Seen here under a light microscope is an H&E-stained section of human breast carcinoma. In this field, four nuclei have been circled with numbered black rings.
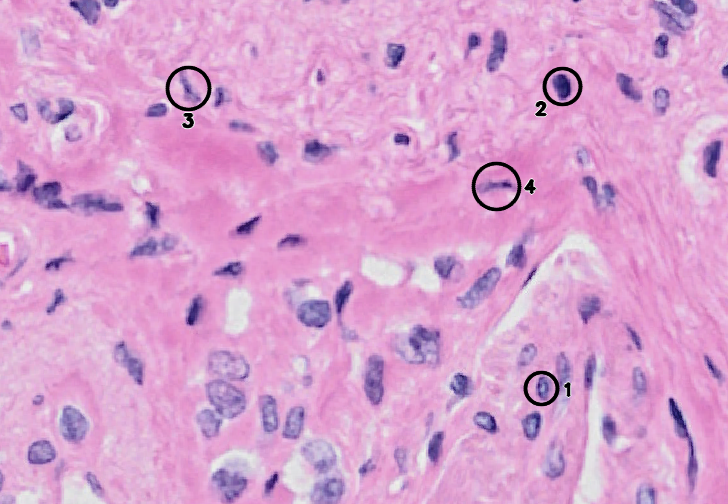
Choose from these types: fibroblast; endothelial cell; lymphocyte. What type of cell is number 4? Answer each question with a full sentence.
Cell 4 in the field of view is a fibroblast.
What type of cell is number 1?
Cell 1 in the field of view is an endothelial cell.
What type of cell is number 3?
The cell given label 3 is a fibroblast.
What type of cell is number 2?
The cell identified by number 2 is a lymphocyte.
